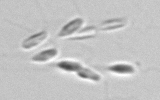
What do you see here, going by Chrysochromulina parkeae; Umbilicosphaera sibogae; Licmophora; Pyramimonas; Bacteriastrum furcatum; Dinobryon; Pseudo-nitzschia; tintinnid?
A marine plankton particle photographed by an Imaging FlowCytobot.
I see Dinobryon.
